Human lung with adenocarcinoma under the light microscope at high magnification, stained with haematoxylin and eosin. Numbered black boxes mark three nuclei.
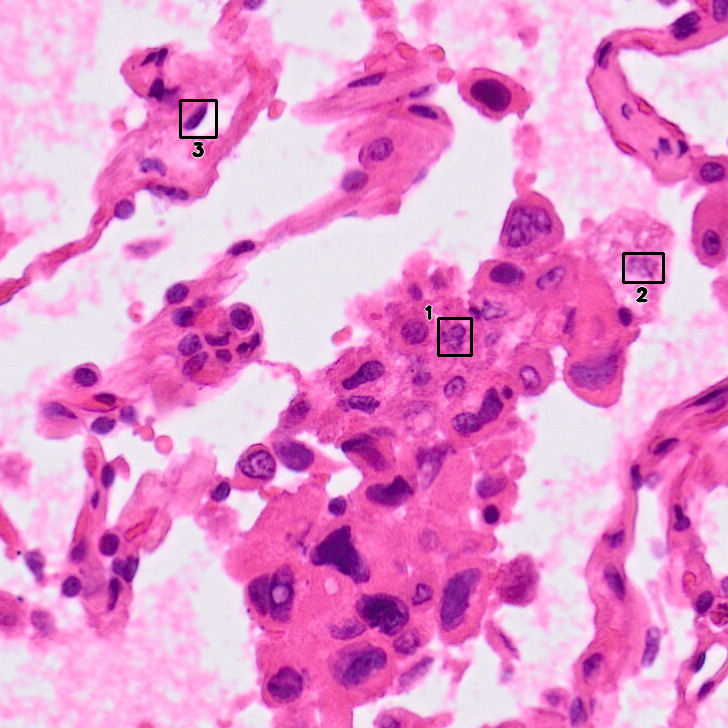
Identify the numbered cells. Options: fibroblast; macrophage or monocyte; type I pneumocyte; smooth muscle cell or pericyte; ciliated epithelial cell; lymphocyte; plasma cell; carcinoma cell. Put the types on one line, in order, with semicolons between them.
macrophage or monocyte; macrophage or monocyte; type I pneumocyte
